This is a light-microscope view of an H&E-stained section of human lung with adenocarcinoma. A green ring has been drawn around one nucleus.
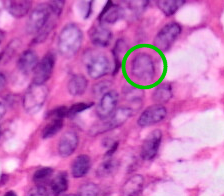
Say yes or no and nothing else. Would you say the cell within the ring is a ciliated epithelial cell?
yes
